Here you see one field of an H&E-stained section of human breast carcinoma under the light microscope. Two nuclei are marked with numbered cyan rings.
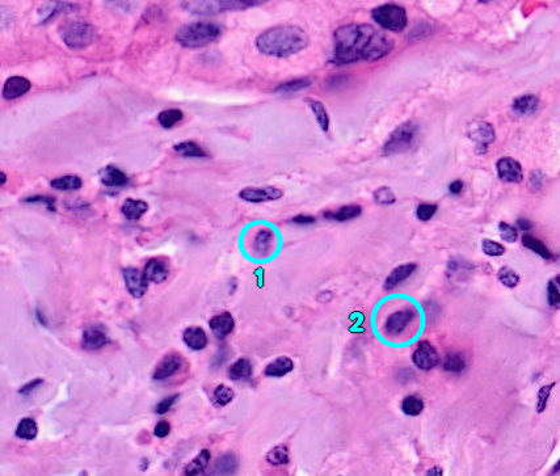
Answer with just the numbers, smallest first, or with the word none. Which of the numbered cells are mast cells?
1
